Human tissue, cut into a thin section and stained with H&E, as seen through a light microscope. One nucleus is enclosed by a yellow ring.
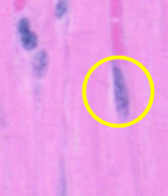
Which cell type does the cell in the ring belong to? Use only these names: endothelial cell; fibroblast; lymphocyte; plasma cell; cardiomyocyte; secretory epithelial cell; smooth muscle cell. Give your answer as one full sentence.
The cell meant here is an endothelial cell.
